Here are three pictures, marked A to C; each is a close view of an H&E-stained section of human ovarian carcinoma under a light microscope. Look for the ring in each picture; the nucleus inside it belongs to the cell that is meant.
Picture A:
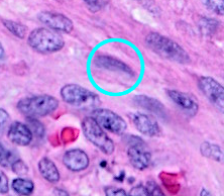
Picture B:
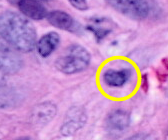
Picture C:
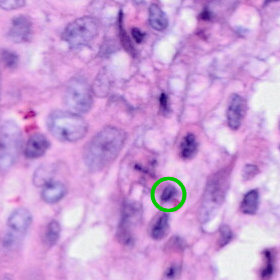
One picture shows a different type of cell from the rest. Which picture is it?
A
